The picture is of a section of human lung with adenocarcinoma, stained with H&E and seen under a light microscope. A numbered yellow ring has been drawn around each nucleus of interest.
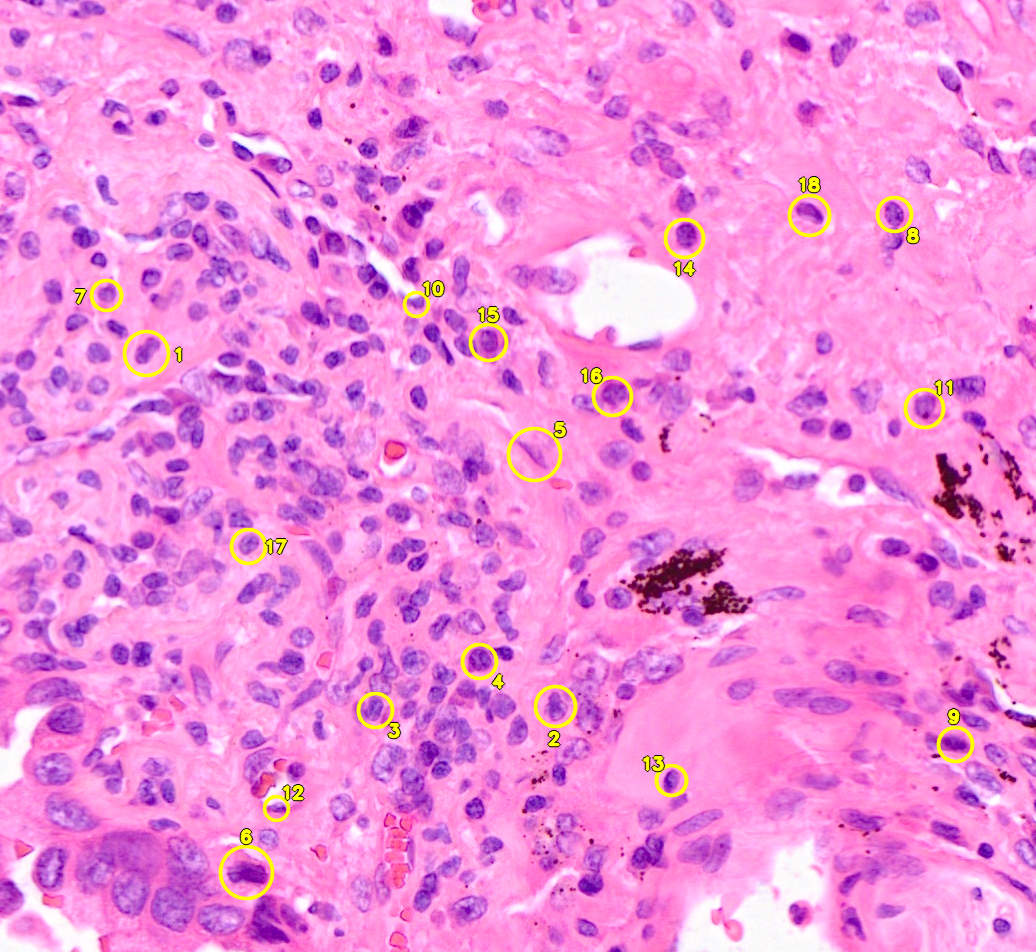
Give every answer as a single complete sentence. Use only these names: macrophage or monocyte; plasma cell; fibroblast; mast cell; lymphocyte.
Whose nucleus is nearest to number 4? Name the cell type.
It is a lymphocyte whose nucleus is nearest to number 4.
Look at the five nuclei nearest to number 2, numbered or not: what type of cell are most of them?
Of the five nuclei nearest to number 2, most belong to macrophages or monocytes.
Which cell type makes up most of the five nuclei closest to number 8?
Around number 8, most of the five nearest nuclei are those of fibroblasts.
